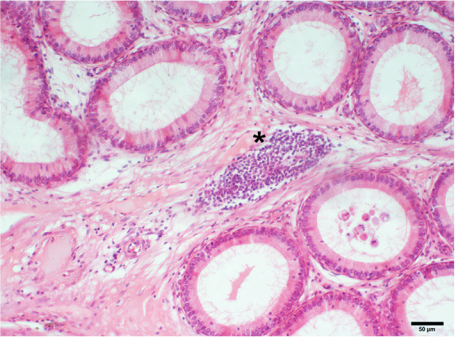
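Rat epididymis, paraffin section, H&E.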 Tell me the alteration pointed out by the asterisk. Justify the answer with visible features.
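A dense cluster of small dark round nuclei lies in the connective tissue between ducts next to the asterisk. The cluster is outside the duct epithelium. The answer: inflammatory cell infiltrate.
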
